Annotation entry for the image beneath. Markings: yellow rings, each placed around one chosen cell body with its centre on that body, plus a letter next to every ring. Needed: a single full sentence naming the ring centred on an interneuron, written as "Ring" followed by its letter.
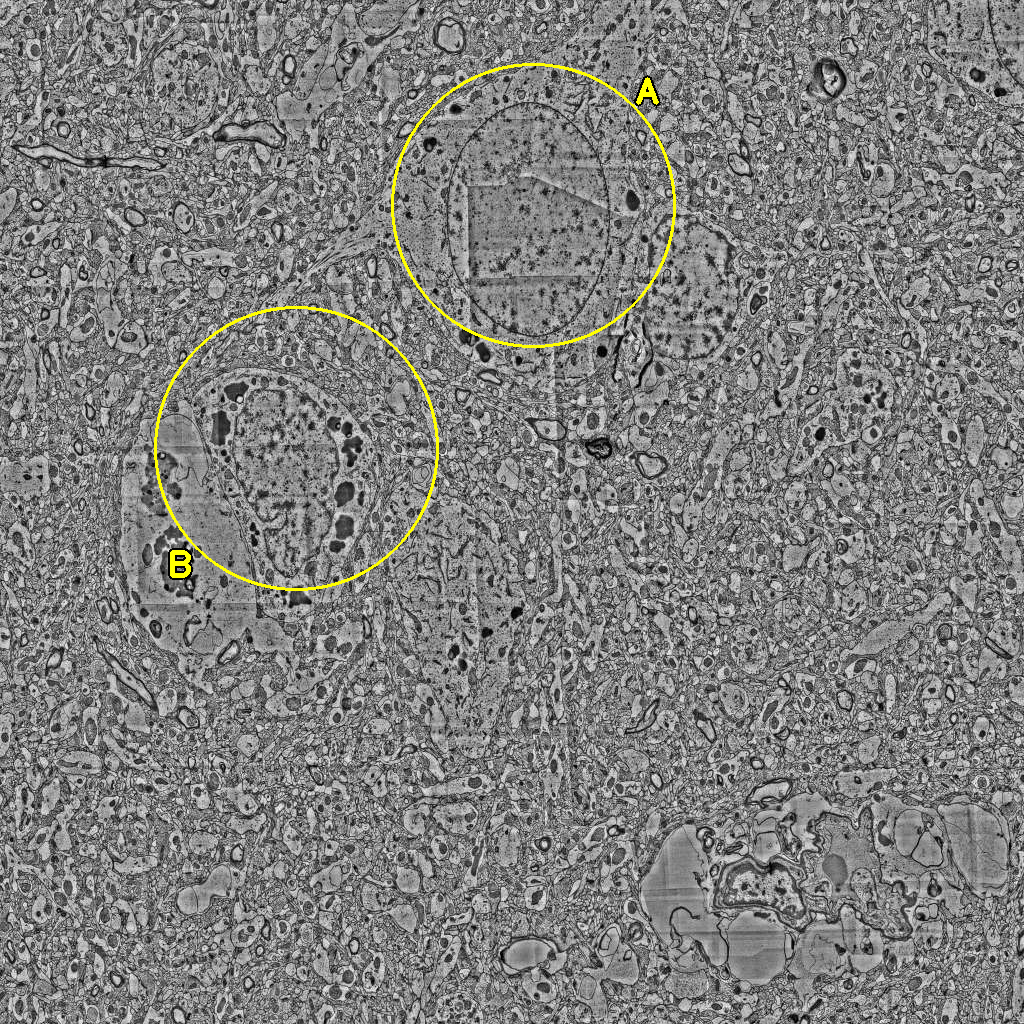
The image shows the cell in question at the centre of Ring B.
